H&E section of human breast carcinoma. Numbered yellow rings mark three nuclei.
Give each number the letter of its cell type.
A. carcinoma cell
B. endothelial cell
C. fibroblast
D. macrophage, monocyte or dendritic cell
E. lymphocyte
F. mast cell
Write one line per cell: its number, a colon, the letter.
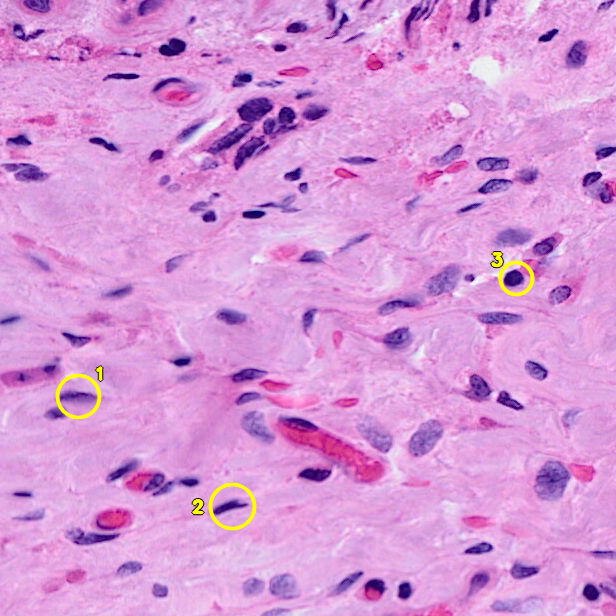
1: C
2: C
3: E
